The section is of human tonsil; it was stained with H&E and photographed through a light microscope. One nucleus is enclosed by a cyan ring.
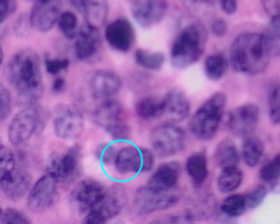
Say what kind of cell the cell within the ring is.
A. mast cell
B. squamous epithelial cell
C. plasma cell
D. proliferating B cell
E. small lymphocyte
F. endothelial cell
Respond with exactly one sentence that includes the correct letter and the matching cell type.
Under option D, the cell within the ring is a proliferating B cell, which is the correct identification.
